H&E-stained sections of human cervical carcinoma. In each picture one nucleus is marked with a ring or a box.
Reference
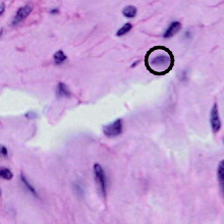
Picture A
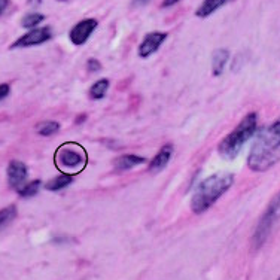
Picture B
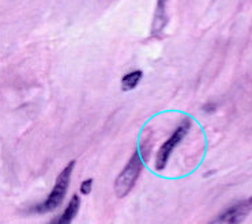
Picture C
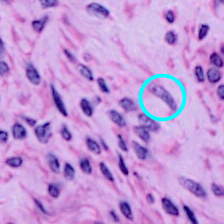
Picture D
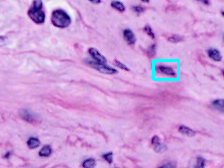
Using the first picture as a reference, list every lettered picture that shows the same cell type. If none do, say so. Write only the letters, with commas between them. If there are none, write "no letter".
B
